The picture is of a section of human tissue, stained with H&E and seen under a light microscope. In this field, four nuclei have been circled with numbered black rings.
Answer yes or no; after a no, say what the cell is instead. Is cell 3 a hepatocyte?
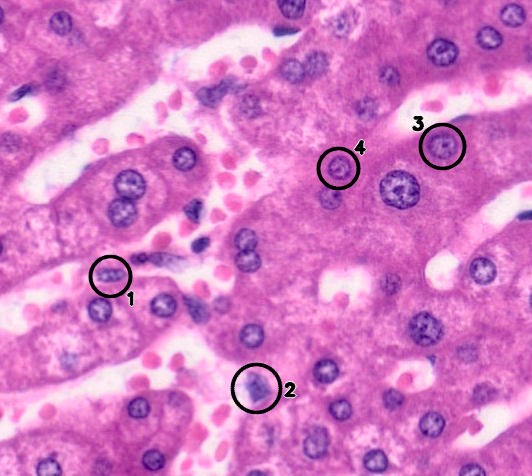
Yes.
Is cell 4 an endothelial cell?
No, it is a hepatocyte.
